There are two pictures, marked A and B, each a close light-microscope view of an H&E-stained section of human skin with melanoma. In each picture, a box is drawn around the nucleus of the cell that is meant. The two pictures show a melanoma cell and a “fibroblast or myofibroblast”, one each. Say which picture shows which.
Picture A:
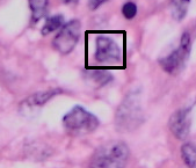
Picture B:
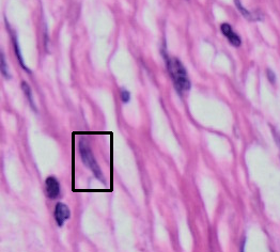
A: melanoma cell
B: fibroblast or myofibroblast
